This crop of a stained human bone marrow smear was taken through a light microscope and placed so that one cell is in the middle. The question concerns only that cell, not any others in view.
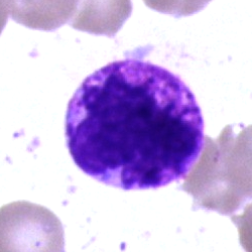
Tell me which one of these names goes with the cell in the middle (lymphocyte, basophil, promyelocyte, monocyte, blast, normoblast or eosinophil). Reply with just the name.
basophil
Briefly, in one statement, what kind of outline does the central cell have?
In short, the margin is smooth with no projections at all.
